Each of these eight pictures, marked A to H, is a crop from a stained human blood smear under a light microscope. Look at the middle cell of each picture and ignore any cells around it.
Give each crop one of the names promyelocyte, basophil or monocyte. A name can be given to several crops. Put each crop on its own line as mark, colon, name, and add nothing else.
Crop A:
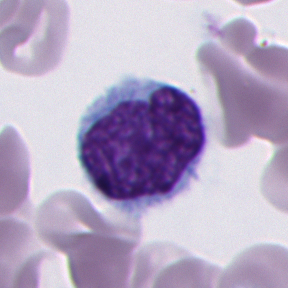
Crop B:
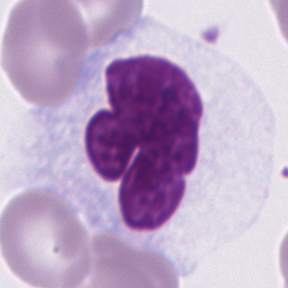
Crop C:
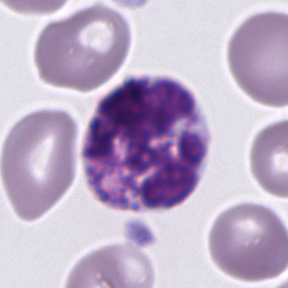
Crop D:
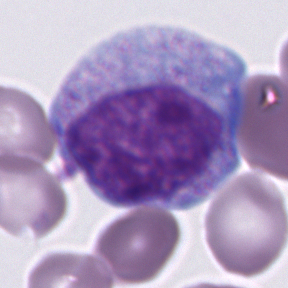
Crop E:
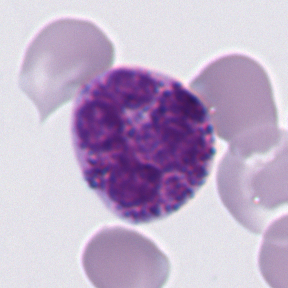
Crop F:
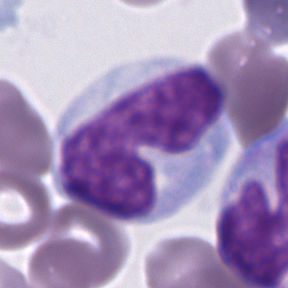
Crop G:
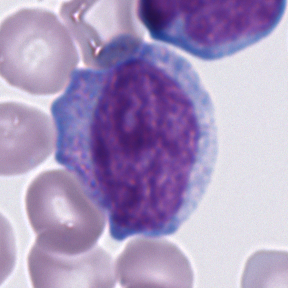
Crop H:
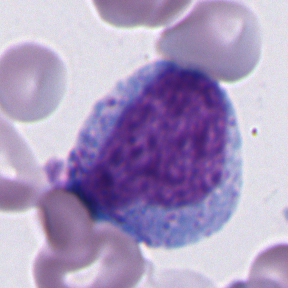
A: monocyte
B: monocyte
C: basophil
D: promyelocyte
E: basophil
F: monocyte
G: promyelocyte
H: promyelocyte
